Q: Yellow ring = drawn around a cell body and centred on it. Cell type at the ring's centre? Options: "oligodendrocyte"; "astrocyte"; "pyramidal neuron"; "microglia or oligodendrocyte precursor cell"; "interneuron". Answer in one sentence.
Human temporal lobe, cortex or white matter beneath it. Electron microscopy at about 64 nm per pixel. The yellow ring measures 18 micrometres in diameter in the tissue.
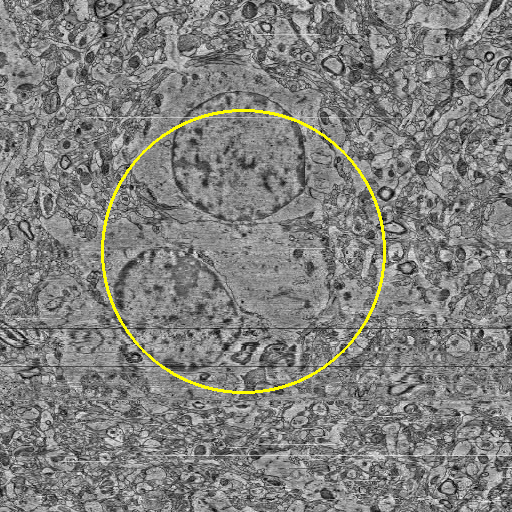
Centred in the ring is an astrocyte.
